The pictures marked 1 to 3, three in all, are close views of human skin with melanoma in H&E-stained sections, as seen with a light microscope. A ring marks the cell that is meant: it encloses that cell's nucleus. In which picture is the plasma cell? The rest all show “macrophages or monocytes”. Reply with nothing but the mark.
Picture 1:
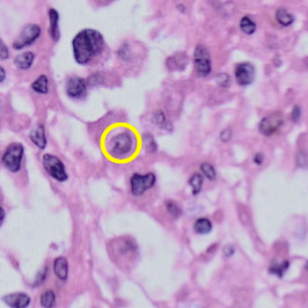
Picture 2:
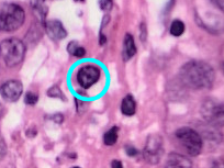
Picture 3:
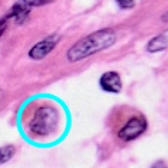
2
